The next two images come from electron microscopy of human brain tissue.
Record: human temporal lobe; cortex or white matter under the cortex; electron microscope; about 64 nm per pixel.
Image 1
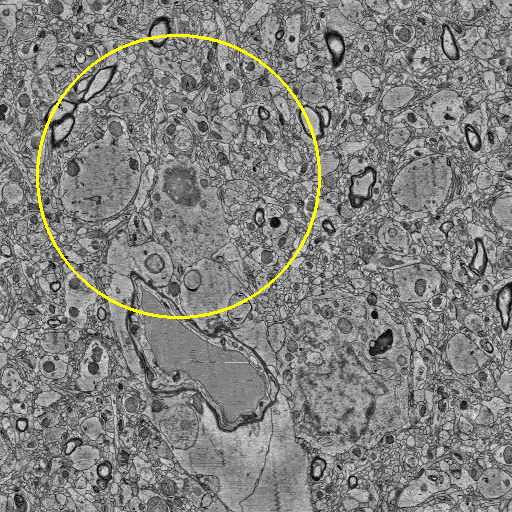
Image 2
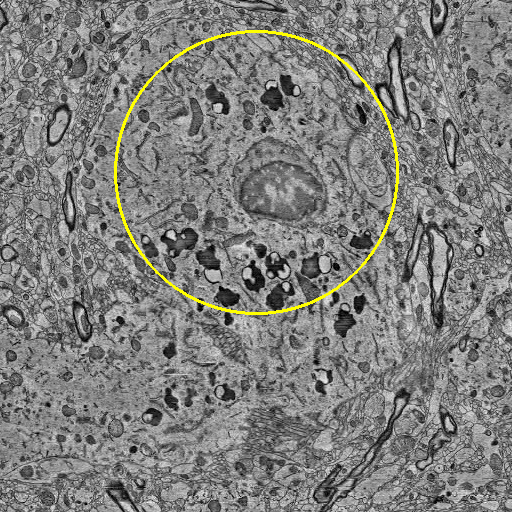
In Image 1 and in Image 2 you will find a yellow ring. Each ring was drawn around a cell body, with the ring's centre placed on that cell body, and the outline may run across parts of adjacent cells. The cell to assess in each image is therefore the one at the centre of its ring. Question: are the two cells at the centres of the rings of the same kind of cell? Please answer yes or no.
yes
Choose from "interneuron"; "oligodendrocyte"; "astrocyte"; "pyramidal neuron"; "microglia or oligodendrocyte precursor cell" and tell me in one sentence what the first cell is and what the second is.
The ring centre holds an oligodendrocyte in each of the two pictures.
